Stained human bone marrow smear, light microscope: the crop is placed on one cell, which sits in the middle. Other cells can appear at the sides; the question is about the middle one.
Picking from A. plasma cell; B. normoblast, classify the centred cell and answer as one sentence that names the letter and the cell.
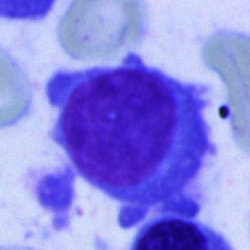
The central cell, a plasma cell, is correctly identified by option A.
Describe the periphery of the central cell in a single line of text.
The cell shows an uneven border, formed by ragged areas or by outward projections.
